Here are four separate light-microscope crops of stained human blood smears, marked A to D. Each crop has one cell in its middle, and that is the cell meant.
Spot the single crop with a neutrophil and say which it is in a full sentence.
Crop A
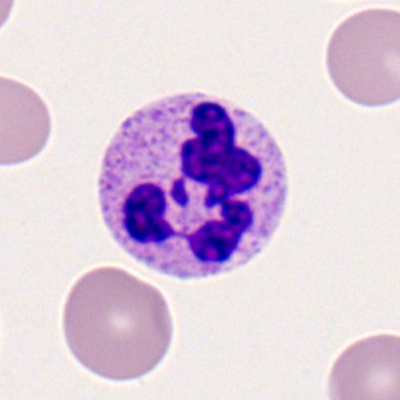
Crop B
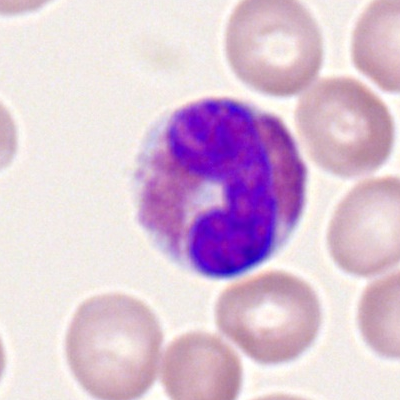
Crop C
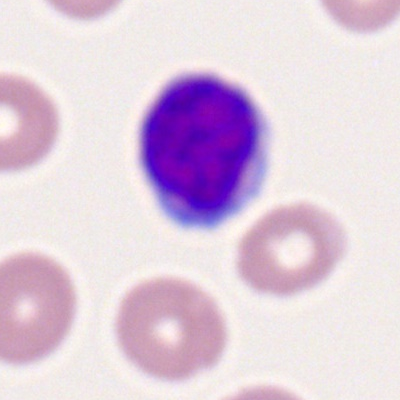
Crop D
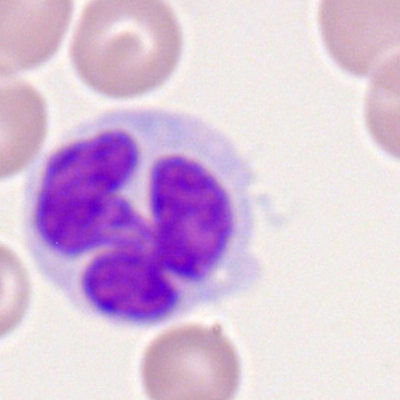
The crop with a neutrophil at its center is crop A.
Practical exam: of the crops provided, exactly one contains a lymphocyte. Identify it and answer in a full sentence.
Identified crop: C, the one that shows a lymphocyte.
